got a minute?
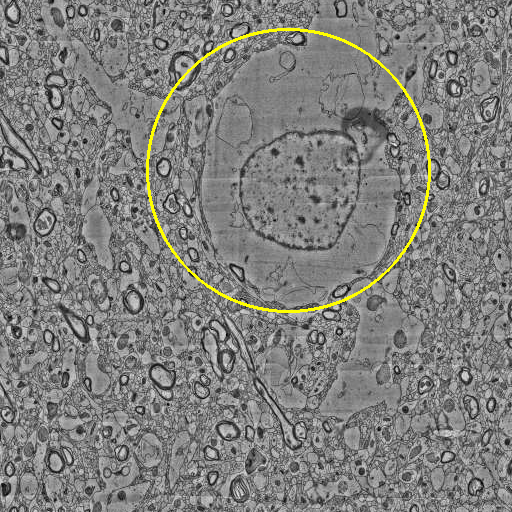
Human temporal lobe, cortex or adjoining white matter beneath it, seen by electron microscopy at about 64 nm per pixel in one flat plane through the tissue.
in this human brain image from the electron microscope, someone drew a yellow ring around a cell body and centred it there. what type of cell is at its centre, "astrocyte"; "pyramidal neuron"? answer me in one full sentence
It's an astrocyte at the middle of that yellow ring in the shot.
